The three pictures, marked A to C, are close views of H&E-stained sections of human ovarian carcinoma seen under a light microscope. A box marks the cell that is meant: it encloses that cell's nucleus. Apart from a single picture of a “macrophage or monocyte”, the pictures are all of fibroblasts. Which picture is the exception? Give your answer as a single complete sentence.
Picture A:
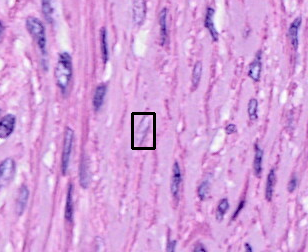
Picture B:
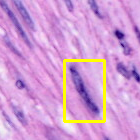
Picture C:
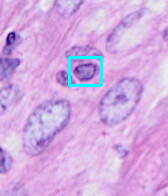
It is picture C that shows the “macrophage or monocyte”.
